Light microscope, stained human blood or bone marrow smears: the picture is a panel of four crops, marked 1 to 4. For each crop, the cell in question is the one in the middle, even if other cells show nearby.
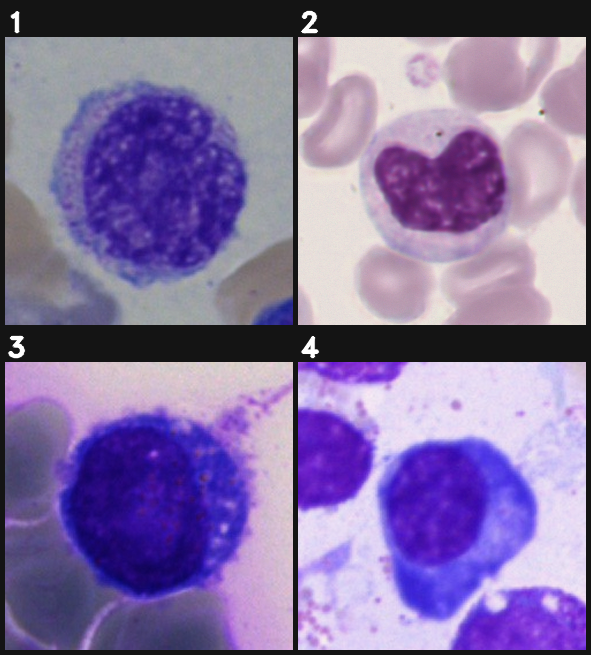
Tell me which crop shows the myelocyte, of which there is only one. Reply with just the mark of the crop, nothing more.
1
